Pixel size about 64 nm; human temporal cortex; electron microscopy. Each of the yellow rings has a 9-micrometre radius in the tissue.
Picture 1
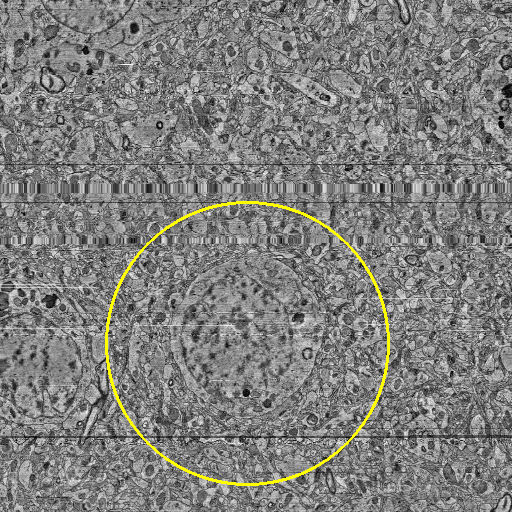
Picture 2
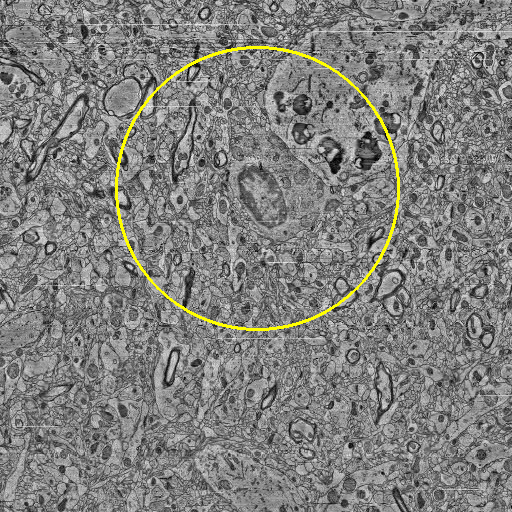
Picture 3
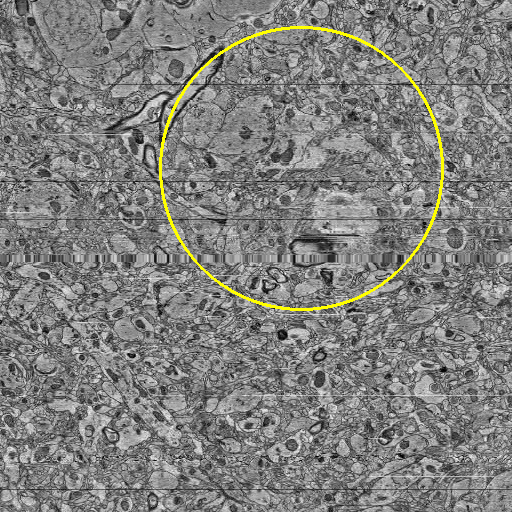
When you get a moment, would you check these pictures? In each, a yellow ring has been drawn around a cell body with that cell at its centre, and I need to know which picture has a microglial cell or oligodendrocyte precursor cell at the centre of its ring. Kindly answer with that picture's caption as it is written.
Picture 3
